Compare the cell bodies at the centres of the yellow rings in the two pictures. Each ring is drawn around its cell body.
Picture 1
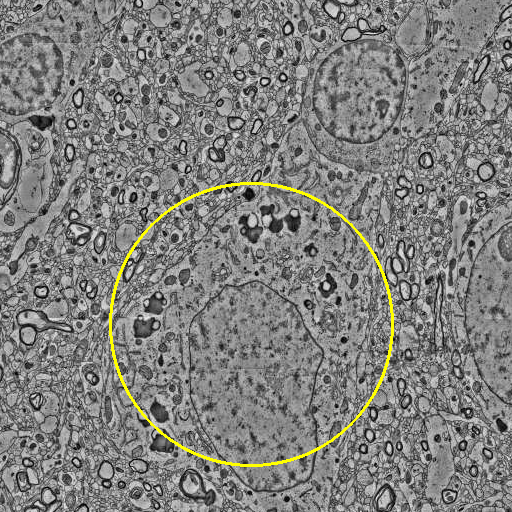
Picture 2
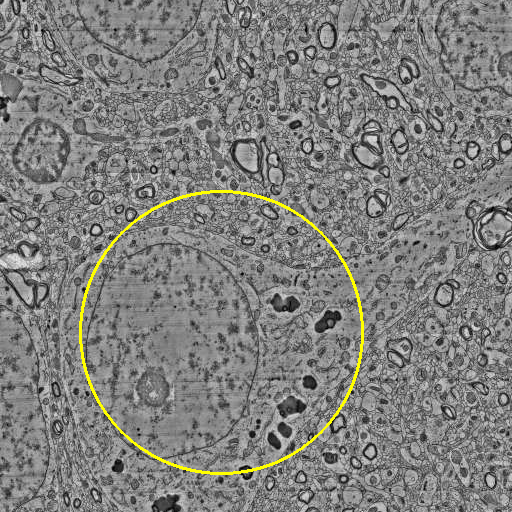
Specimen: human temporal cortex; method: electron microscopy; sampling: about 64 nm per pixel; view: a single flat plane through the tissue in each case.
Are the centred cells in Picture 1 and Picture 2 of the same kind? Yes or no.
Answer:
yes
